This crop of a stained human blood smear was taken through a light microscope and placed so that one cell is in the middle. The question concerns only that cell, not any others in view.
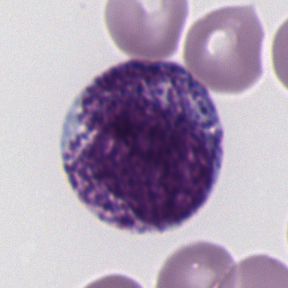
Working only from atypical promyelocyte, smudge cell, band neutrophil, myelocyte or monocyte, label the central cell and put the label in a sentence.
At the center of the crop sits a myelocyte.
